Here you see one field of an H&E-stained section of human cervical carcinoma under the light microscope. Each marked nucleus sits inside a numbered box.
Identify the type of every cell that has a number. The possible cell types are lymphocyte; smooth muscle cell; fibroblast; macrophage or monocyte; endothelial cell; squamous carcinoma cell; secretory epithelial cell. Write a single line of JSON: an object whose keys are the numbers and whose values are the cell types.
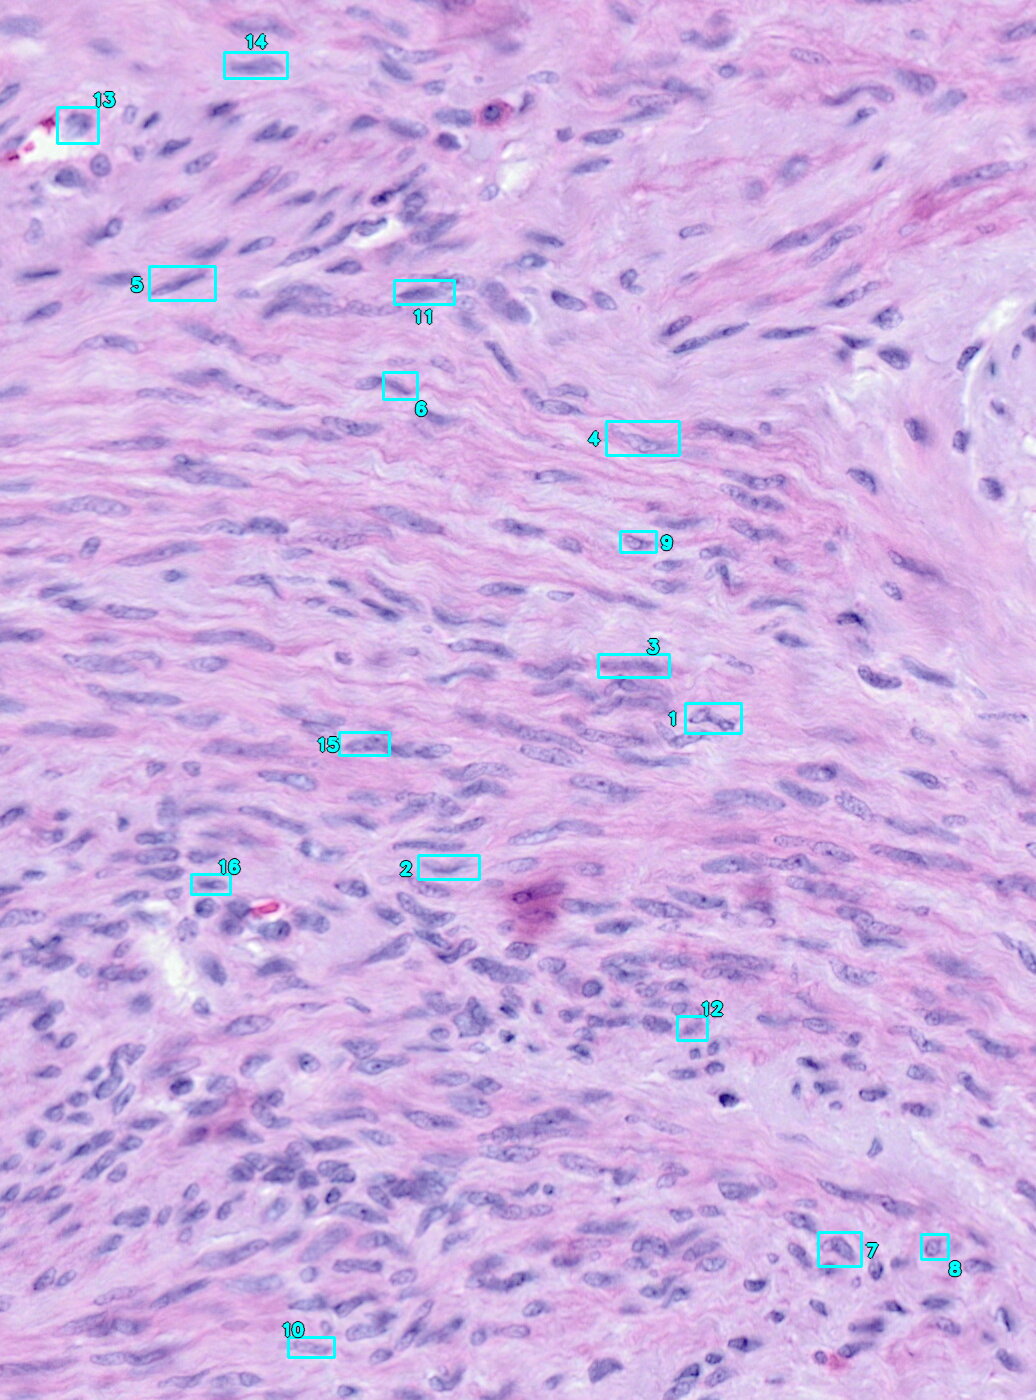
{"1": "fibroblast", "2": "fibroblast", "3": "smooth muscle cell", "4": "smooth muscle cell", "5": "fibroblast", "6": "smooth muscle cell", "7": "smooth muscle cell", "8": "smooth muscle cell", "9": "smooth muscle cell", "10": "smooth muscle cell", "11": "fibroblast", "12": "smooth muscle cell", "13": "endothelial cell", "14": "fibroblast", "15": "smooth muscle cell", "16": "fibroblast"}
